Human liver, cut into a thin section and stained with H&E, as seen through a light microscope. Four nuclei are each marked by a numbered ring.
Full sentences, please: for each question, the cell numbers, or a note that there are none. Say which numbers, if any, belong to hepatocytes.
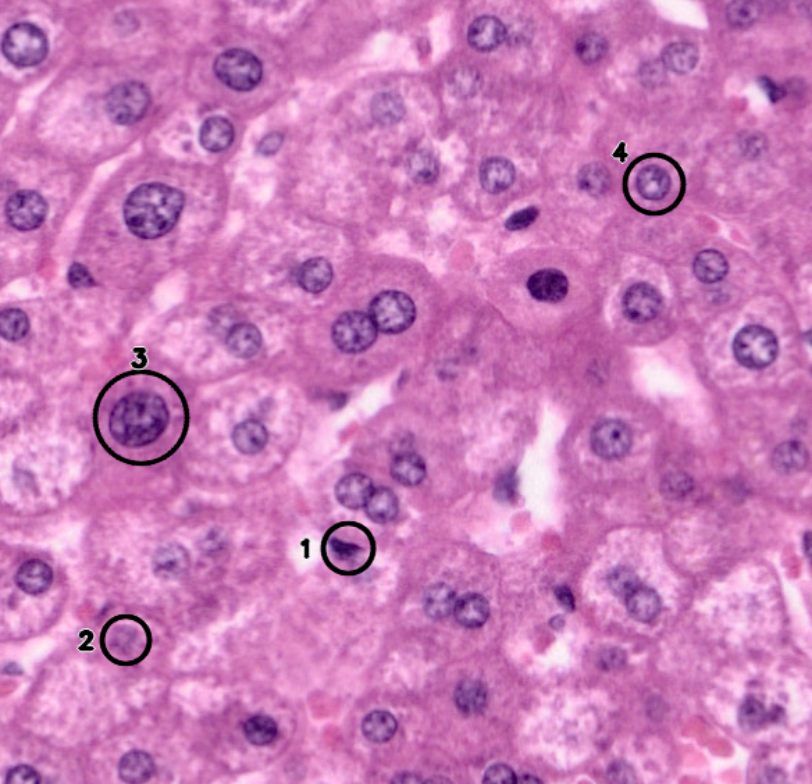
Cells 2, 3 and 4 are recognised here as hepatocytes.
